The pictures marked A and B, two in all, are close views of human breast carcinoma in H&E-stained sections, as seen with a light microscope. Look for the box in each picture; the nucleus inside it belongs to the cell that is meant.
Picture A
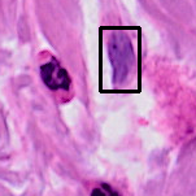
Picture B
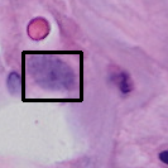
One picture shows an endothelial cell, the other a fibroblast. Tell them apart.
A: fibroblast
B: endothelial cell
